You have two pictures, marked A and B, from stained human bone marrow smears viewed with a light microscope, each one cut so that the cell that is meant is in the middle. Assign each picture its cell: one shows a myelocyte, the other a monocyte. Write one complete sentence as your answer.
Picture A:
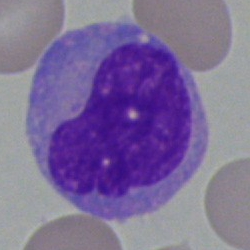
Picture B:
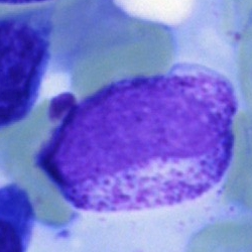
In picture A the cell is a monocyte; in picture B, a myelocyte.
